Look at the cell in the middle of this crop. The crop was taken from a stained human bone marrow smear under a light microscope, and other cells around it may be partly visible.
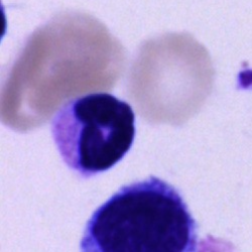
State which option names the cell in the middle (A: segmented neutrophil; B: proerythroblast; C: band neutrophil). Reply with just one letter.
A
